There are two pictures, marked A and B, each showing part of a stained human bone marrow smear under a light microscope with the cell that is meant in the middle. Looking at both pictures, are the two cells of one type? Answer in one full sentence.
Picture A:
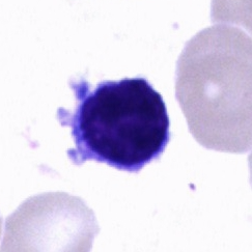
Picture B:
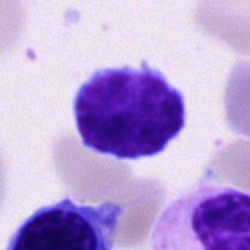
Yes, they are the same type: both are lymphocytes.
